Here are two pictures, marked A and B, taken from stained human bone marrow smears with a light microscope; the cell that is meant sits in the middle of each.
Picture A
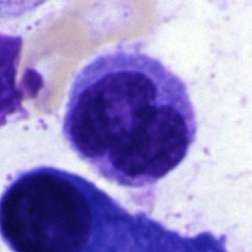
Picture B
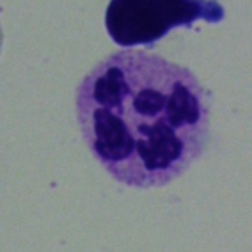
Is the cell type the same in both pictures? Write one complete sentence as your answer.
No, the types are not the same, since picture A shows a monocyte and picture B a segmented neutrophil.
